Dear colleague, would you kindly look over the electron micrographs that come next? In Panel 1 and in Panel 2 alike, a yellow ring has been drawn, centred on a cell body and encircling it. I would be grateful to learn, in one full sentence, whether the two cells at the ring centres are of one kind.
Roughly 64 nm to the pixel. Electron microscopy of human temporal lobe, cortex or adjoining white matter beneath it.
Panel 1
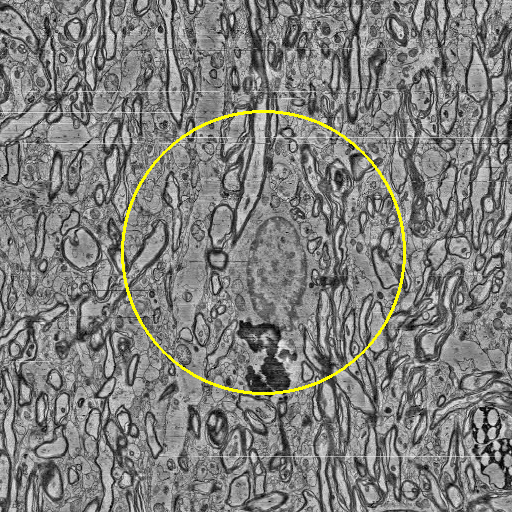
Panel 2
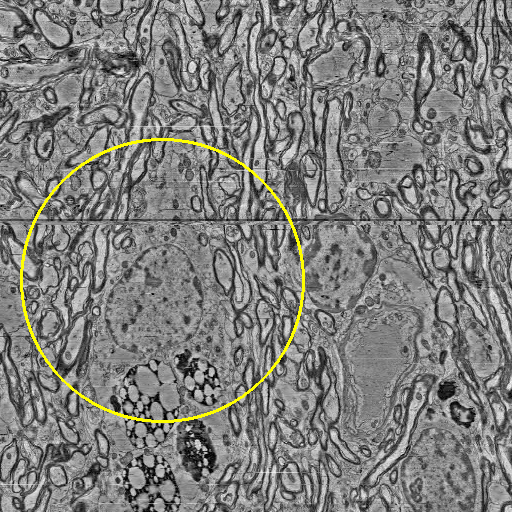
No, the cells in the middle of the rings in the two panels are of two kinds.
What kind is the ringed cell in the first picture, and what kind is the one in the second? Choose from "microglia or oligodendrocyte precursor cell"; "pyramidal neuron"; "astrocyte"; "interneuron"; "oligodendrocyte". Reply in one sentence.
The first cell is an oligodendrocyte; the second is an astrocyte.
